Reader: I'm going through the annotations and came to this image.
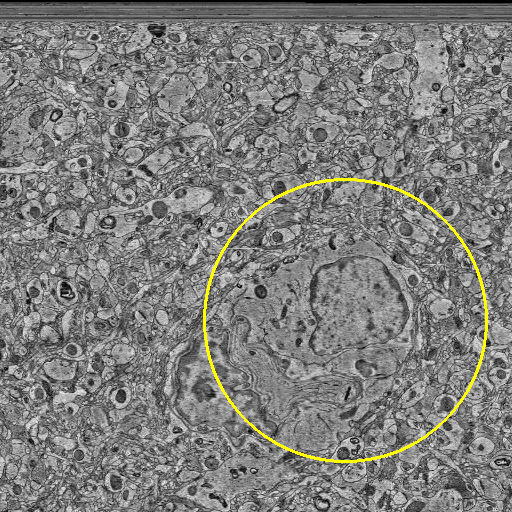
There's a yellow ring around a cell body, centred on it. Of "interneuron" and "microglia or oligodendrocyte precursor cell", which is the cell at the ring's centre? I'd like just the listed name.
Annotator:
microglia or oligodendrocyte precursor cell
